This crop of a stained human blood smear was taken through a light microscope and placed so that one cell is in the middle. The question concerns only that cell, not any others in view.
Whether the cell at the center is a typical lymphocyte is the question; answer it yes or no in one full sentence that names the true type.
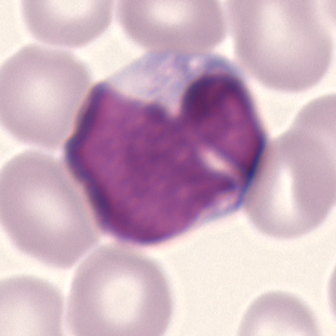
No, the central cell should be identified as a large granular lymphocyte, not as a typical lymphocyte.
